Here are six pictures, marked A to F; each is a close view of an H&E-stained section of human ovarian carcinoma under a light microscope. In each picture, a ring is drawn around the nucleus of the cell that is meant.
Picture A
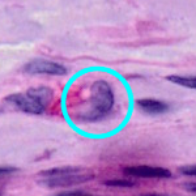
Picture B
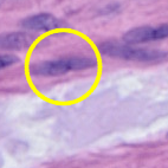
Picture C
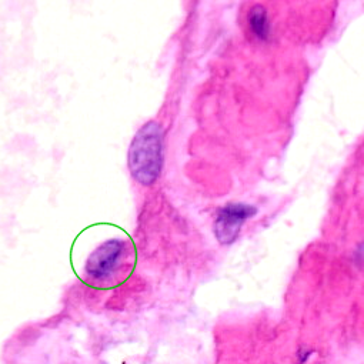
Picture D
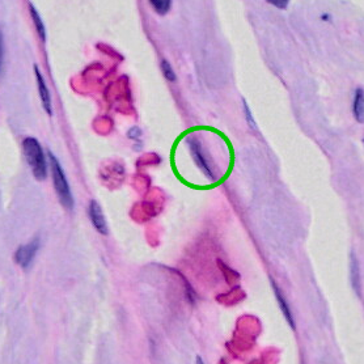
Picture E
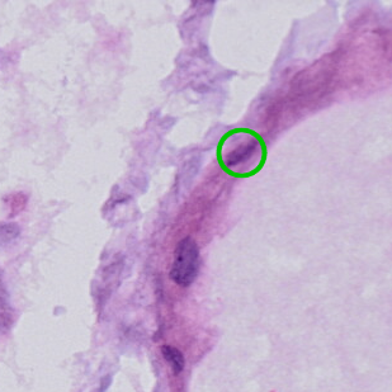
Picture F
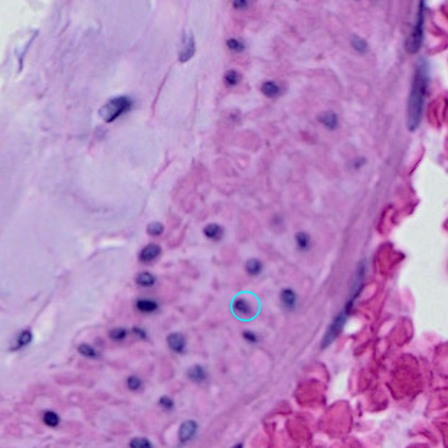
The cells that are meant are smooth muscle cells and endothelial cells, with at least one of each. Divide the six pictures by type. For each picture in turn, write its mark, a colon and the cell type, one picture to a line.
A: endothelial cell
B: smooth muscle cell
C: endothelial cell
D: endothelial cell
E: endothelial cell
F: smooth muscle cell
